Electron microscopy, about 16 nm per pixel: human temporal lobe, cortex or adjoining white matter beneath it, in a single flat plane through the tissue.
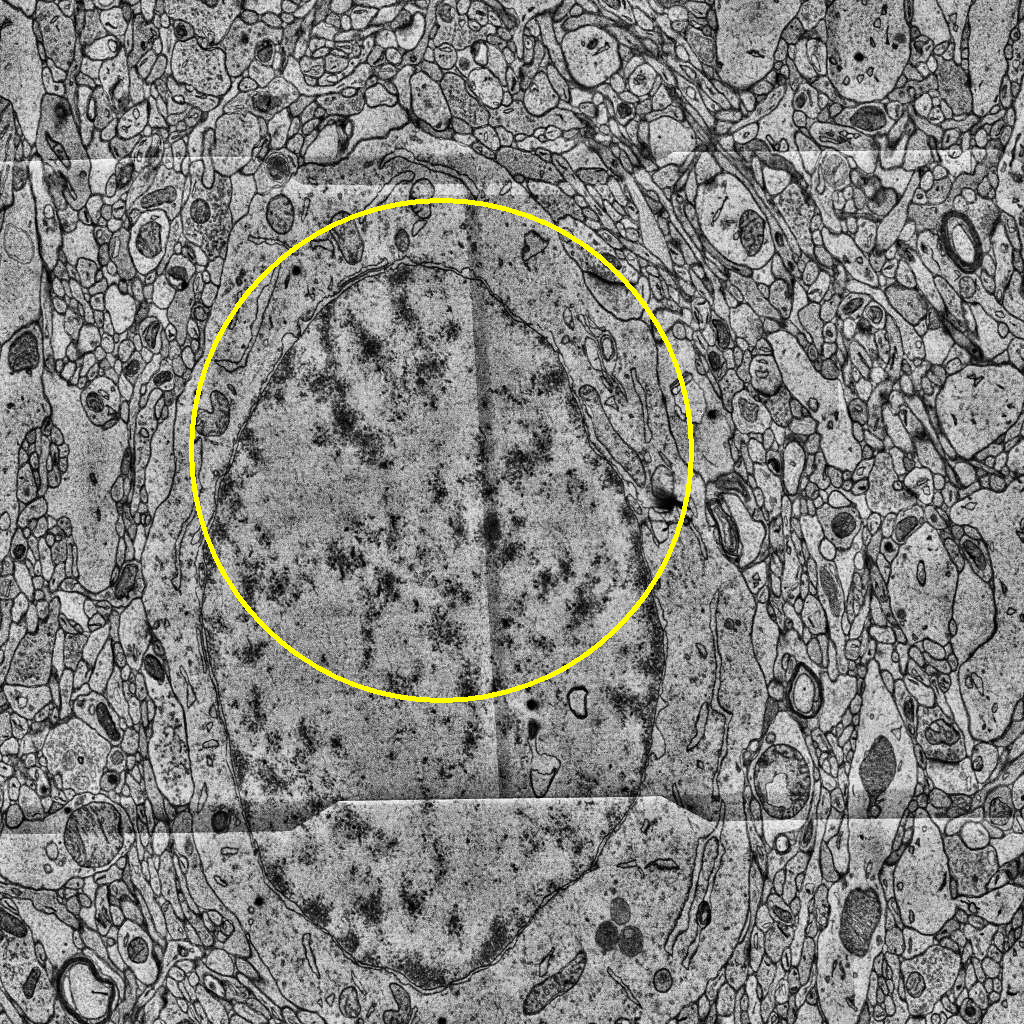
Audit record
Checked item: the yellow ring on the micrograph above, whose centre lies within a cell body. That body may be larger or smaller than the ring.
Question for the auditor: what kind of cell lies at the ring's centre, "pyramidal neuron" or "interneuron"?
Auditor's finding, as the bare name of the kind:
interneuron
